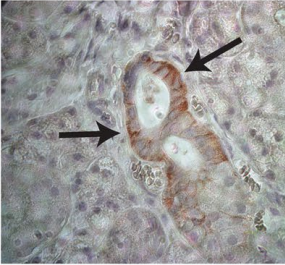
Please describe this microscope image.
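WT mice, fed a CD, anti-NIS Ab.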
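This section of salivary gland shows closely packed secretory cells with pale, finely granular cytoplasm and small round nuclei, surrounding a duct with an open lumen. The cells lining the duct are stained brown, most intensely along their basal and lateral borders, forming a ring around the lumen. The surrounding secretory cells show little or no brown staining.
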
